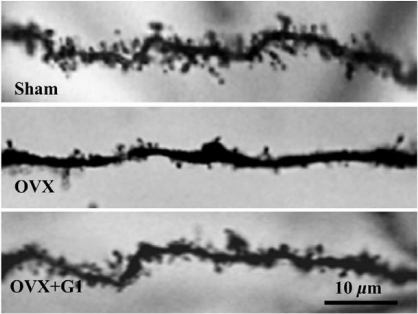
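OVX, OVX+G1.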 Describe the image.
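Small dark protrusions, the dendritic spines, project from its surface, some thin and some with rounded heads. The top and bottom segments carry dense clusters of spines, whereas the middle segment looks smoother with only scattered protrusions.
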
